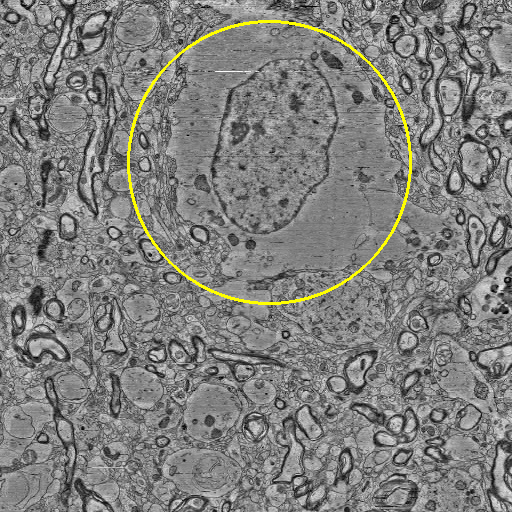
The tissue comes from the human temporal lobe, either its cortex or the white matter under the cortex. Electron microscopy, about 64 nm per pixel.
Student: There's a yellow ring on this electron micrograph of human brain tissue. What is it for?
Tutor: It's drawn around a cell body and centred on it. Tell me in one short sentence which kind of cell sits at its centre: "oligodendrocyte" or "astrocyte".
The cell at the centre of the ring is an astrocyte.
